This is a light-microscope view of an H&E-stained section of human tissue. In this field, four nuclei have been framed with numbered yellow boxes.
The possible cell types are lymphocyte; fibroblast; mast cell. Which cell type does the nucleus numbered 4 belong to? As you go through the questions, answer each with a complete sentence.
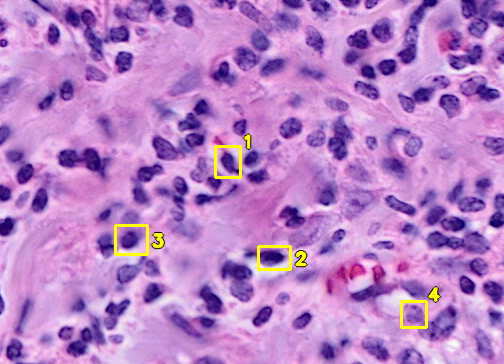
Among the marked nuclei, number 4 belongs to a mast cell.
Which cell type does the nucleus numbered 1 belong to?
Cell 1 in the field of view is a lymphocyte.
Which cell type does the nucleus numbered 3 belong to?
The cell carrying label 3 is identified as a lymphocyte.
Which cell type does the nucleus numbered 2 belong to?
Cell 2, as marked in the section, is a lymphocyte.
